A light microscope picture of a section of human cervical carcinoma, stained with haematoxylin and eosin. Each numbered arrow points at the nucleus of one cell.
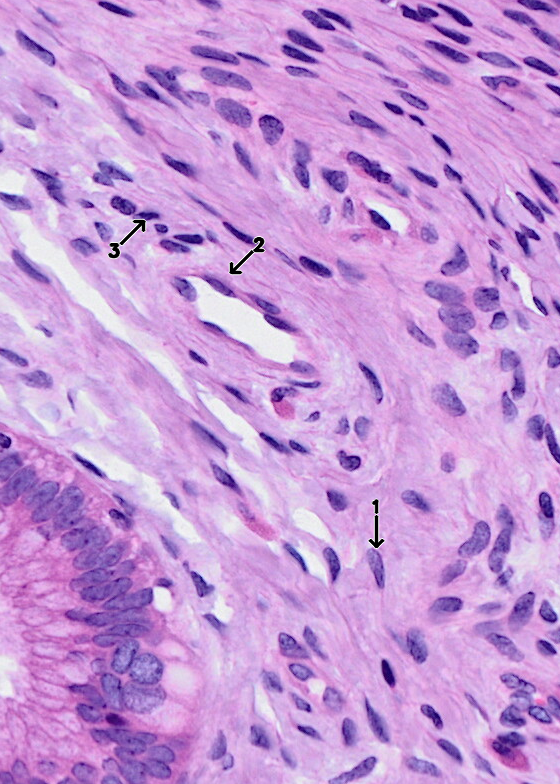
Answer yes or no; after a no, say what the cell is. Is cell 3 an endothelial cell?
No, it is a fibroblast.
